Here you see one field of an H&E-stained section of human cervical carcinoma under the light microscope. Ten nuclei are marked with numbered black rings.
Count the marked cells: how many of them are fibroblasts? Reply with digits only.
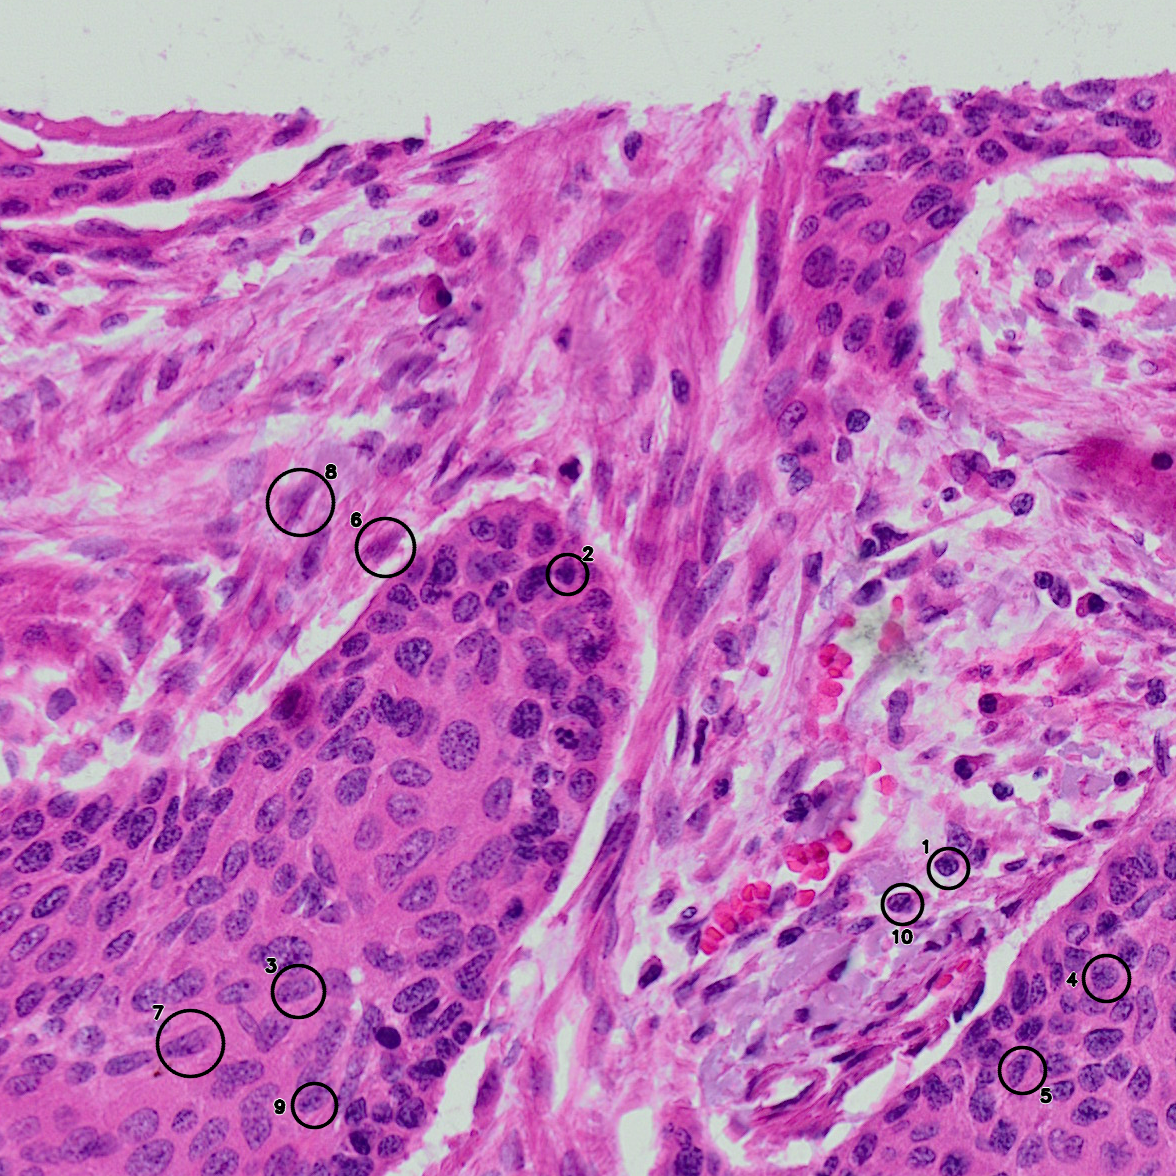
2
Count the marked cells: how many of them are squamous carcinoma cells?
6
